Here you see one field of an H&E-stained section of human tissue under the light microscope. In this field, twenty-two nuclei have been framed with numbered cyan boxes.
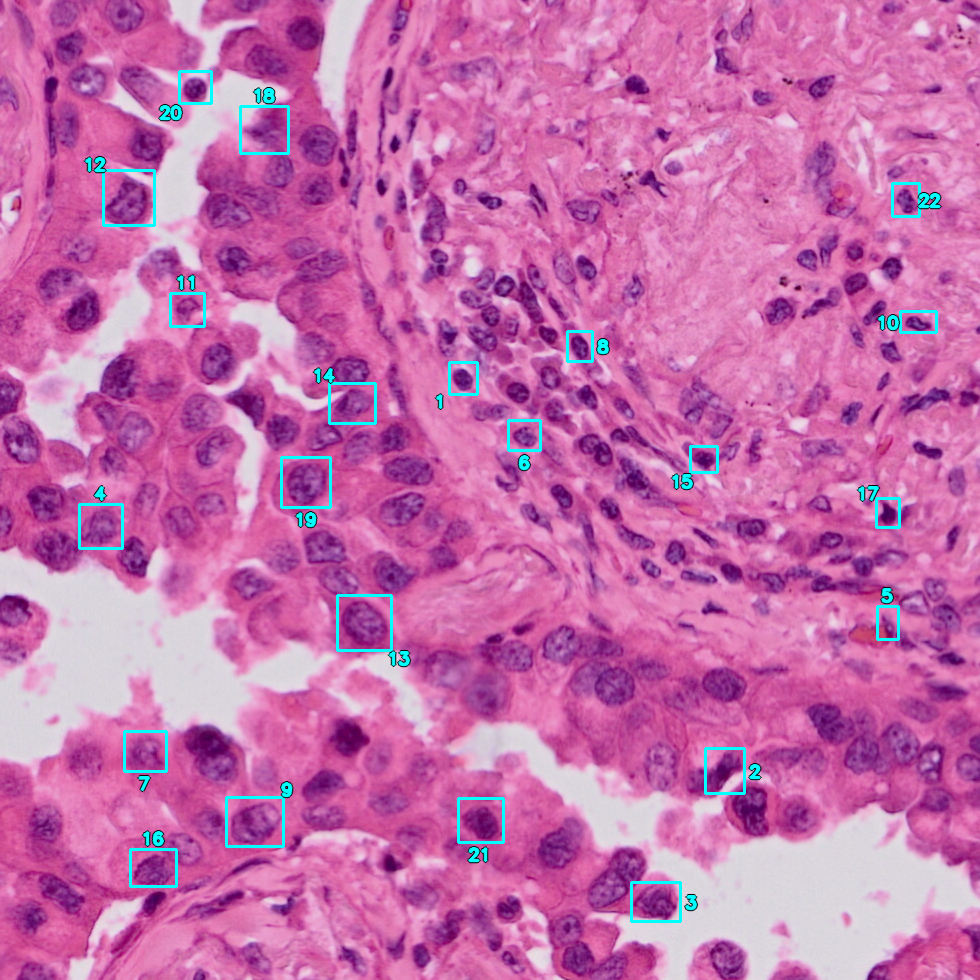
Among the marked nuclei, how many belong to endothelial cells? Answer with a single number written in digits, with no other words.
1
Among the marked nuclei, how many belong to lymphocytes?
2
